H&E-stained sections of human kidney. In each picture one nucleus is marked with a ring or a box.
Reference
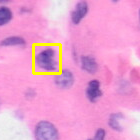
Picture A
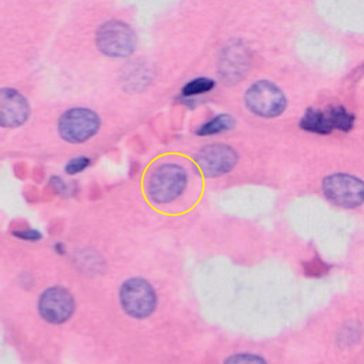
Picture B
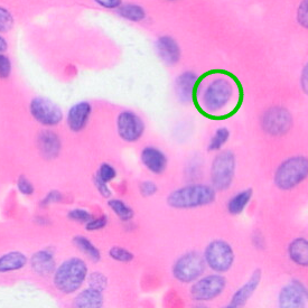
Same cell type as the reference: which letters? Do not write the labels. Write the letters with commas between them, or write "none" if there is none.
B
